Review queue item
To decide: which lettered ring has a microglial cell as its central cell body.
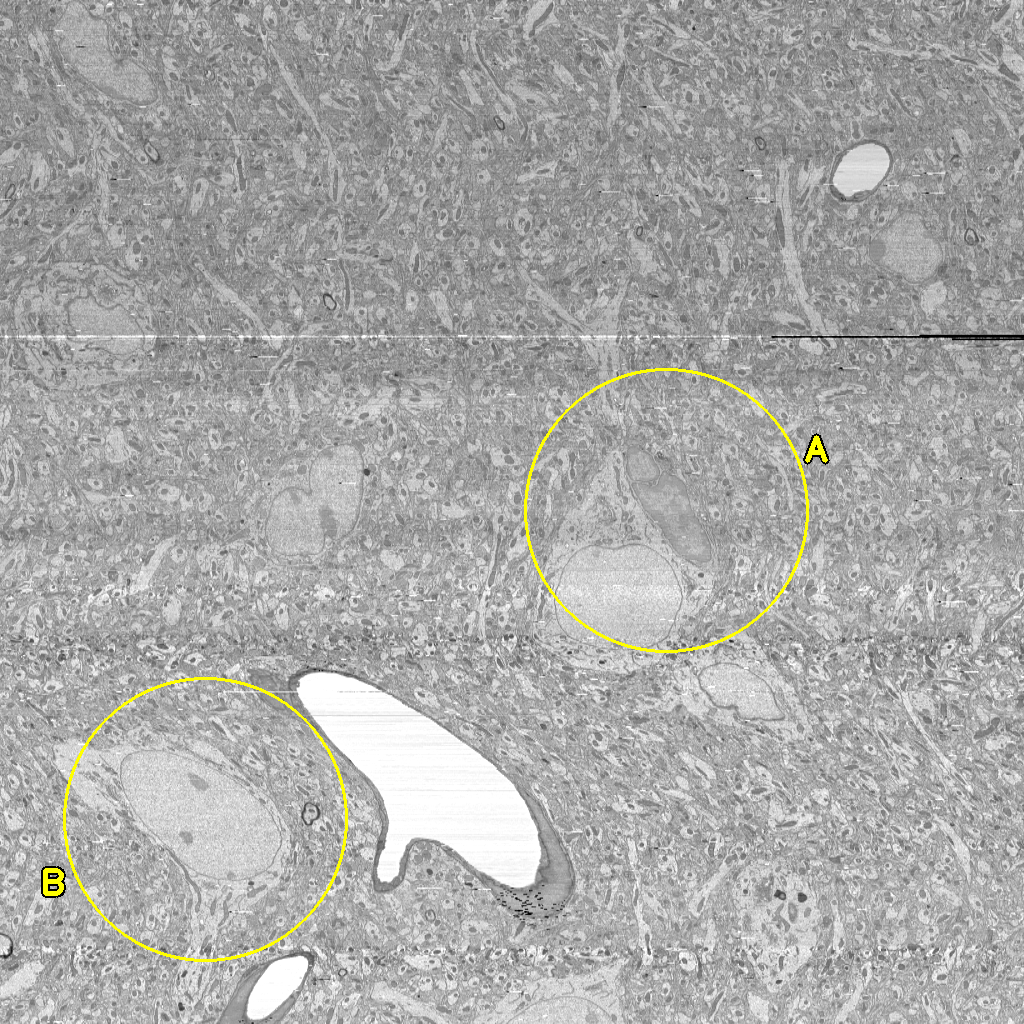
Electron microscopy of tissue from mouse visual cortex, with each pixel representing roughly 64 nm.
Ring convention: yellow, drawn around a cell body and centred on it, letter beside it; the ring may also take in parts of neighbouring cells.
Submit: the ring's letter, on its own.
A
